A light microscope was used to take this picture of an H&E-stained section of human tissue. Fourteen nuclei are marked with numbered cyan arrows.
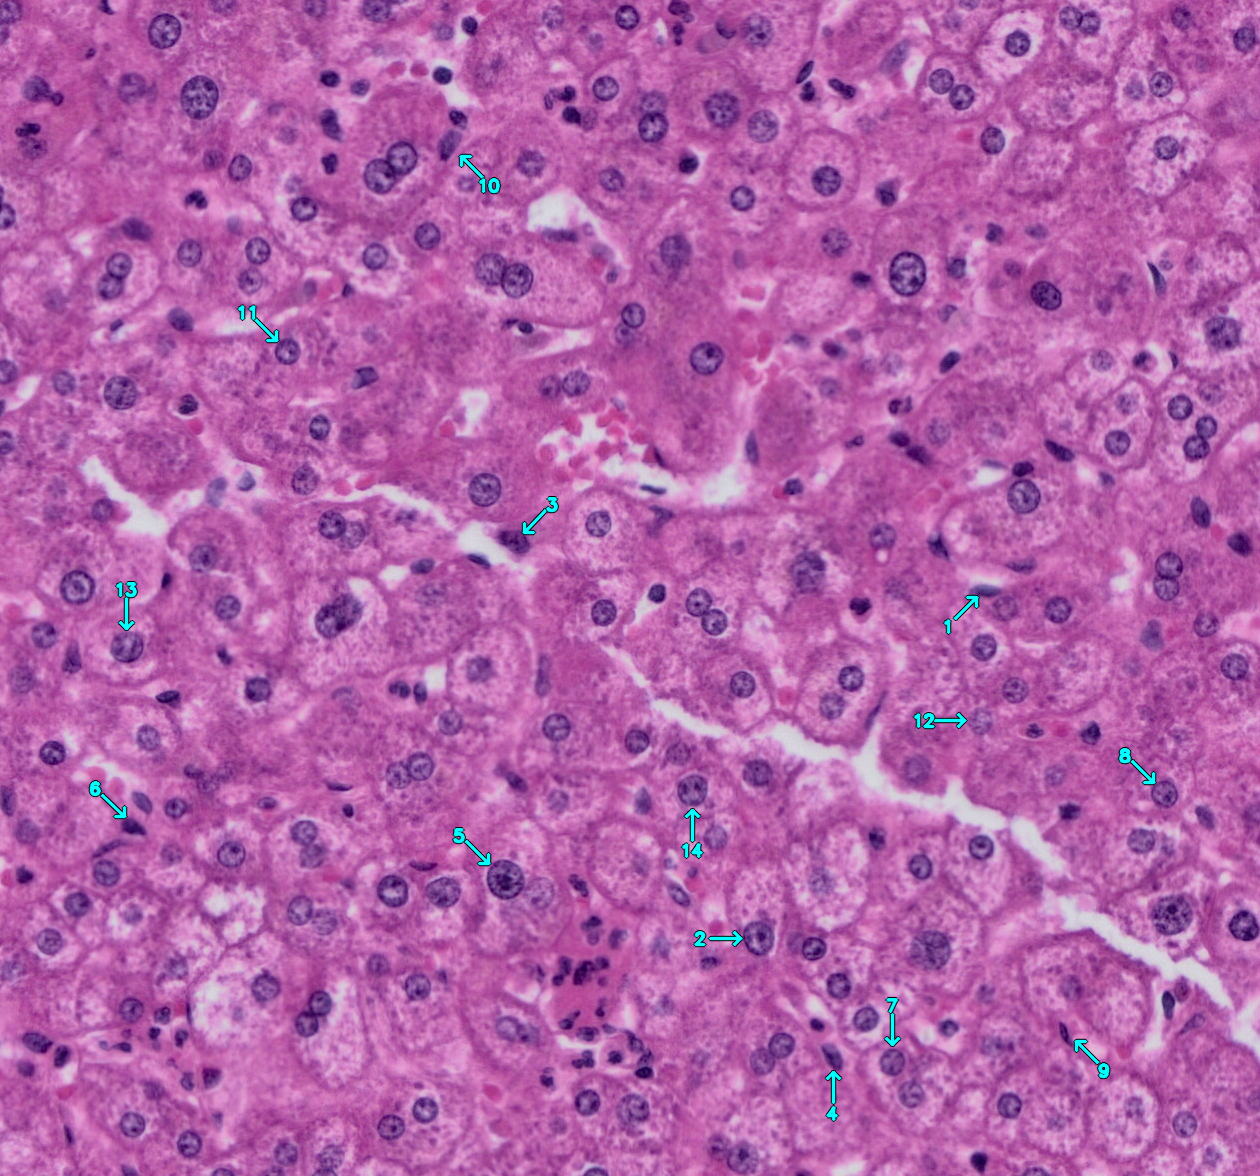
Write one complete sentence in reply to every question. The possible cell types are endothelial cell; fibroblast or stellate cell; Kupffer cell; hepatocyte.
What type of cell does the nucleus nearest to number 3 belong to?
Number 3 lies closest to the nucleus of an endothelial cell.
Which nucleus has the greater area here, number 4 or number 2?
Nucleus 2 is larger, with an area about 2 times that of nucleus 4.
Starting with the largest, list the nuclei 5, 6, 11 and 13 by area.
Going from the biggest nucleus down to the smallest gives 5, 13, 11, 6.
